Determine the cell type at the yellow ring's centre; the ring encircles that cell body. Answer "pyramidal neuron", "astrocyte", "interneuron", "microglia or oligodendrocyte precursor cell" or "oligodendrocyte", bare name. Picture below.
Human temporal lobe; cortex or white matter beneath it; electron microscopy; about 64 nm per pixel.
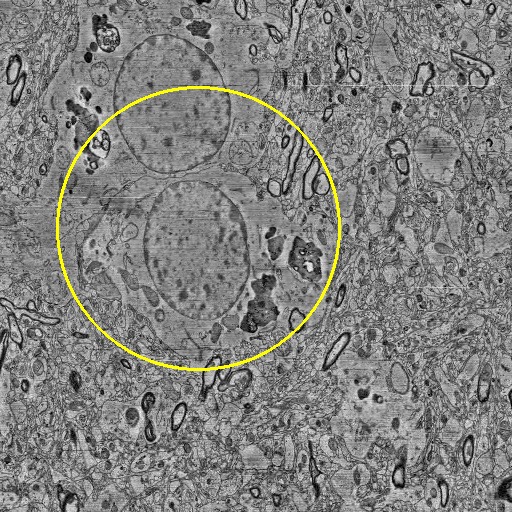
astrocyte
